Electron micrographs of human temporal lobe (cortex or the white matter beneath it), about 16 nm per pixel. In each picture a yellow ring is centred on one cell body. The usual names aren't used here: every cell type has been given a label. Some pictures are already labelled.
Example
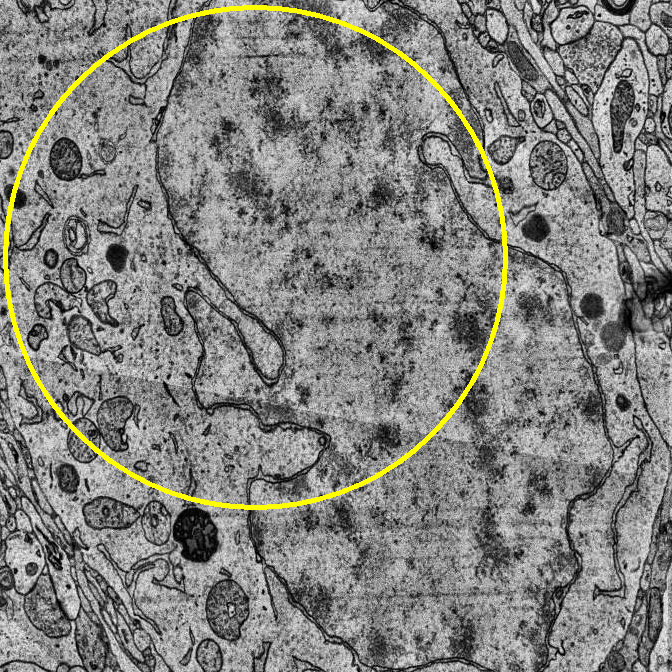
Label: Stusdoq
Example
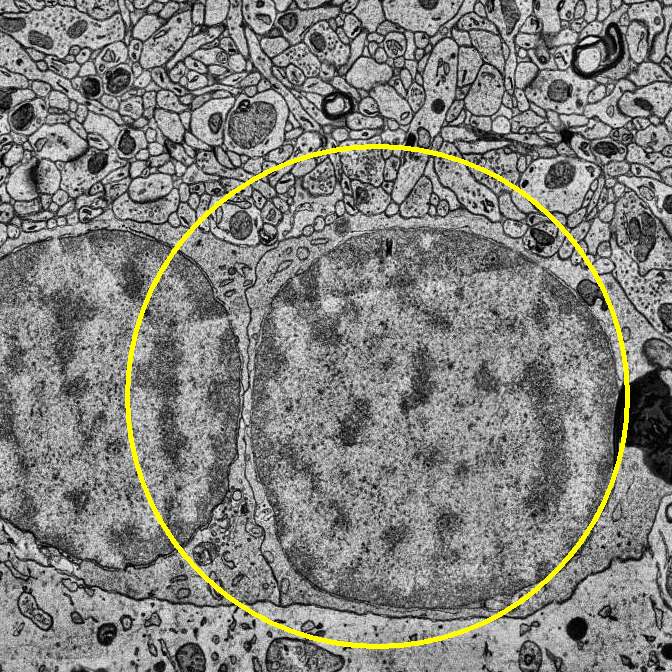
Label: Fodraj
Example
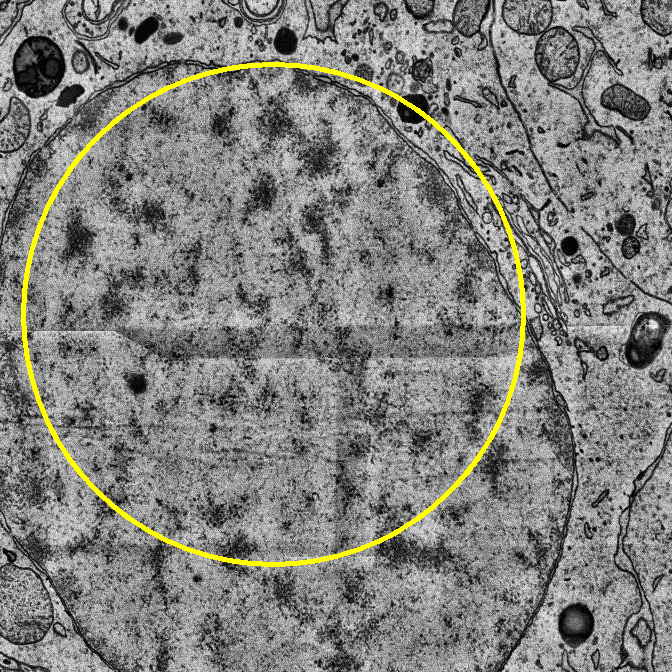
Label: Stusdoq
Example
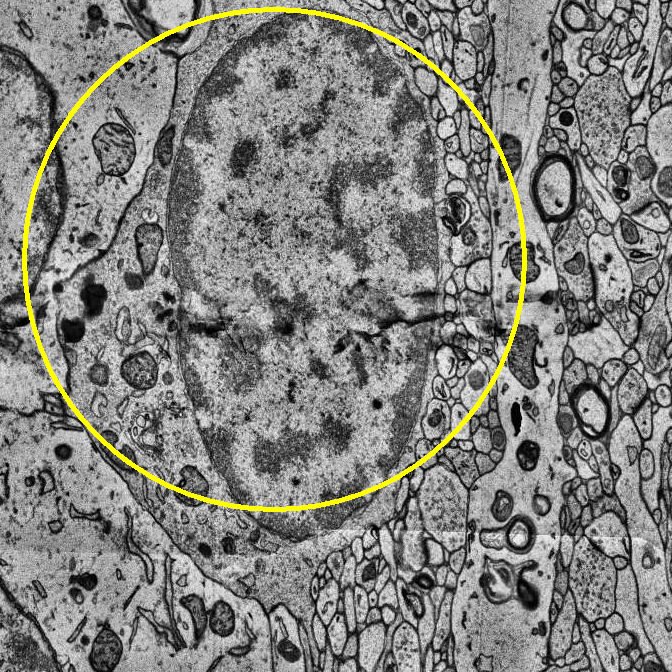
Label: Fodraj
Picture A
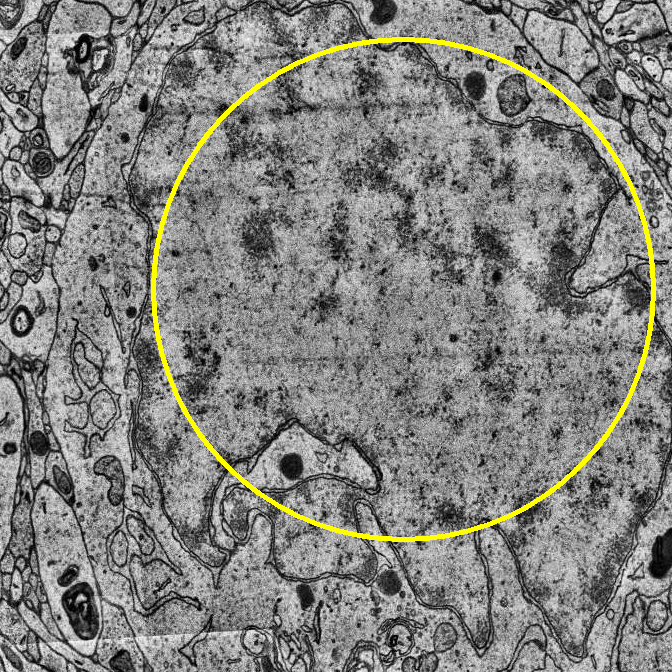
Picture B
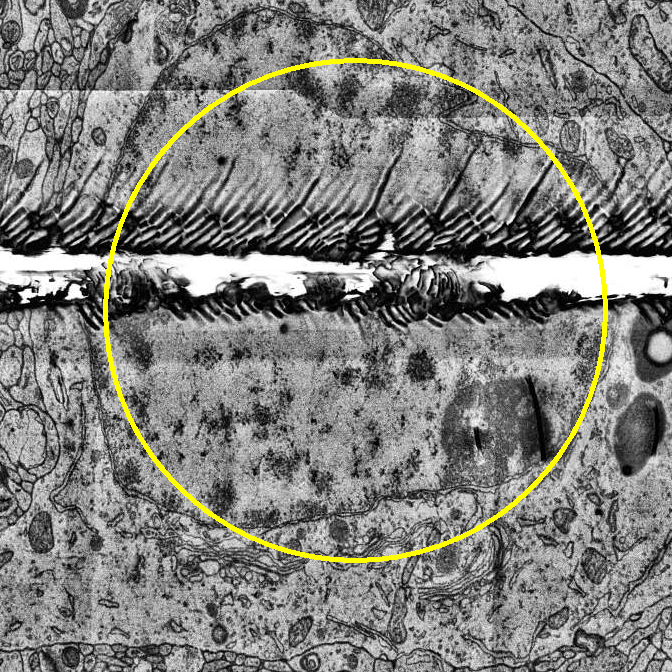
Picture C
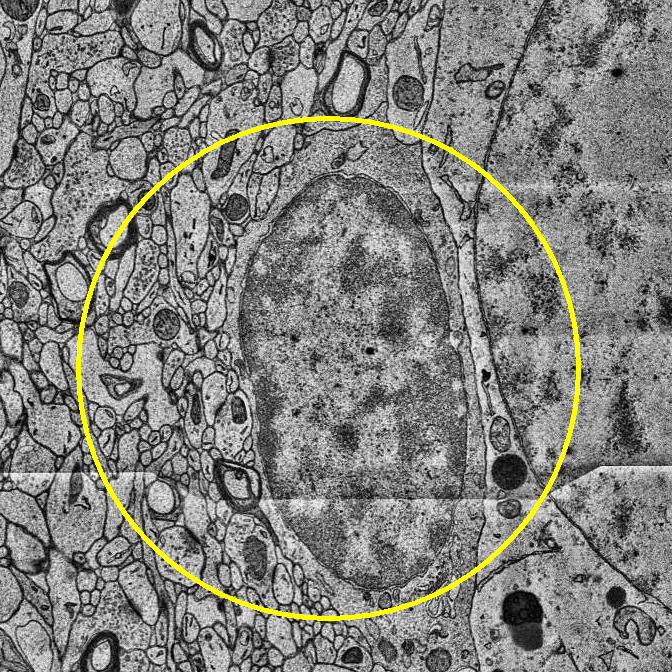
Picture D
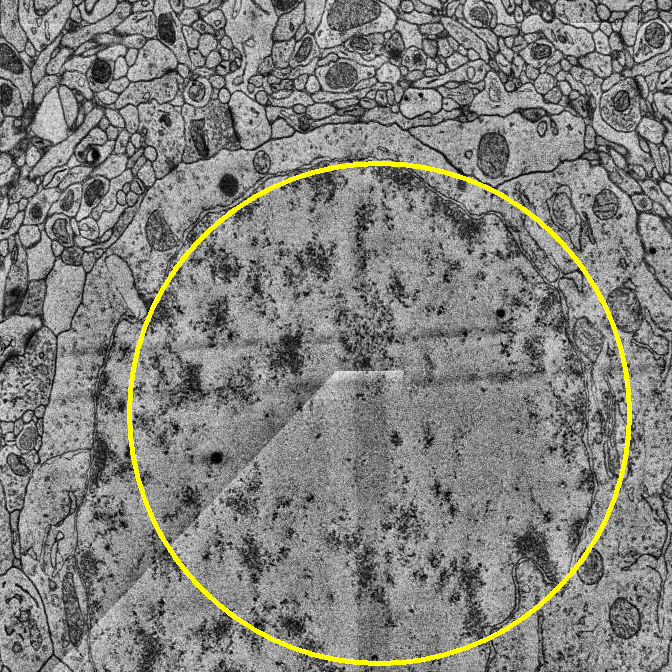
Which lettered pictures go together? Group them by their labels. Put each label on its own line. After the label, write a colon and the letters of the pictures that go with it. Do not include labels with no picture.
Stusdoq: A, B, D
Fodraj: C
